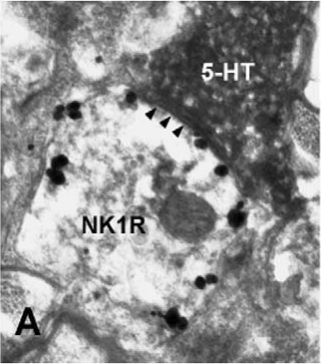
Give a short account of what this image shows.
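A dark, vesicle-filled axon terminal sits against a pale dendrite whose membrane and cytoplasm carry scattered black grains. At their contact the membrane thickening is thin and about equal on both sides, a symmetric synapse; a mitochondrion lies within the dendrite.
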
